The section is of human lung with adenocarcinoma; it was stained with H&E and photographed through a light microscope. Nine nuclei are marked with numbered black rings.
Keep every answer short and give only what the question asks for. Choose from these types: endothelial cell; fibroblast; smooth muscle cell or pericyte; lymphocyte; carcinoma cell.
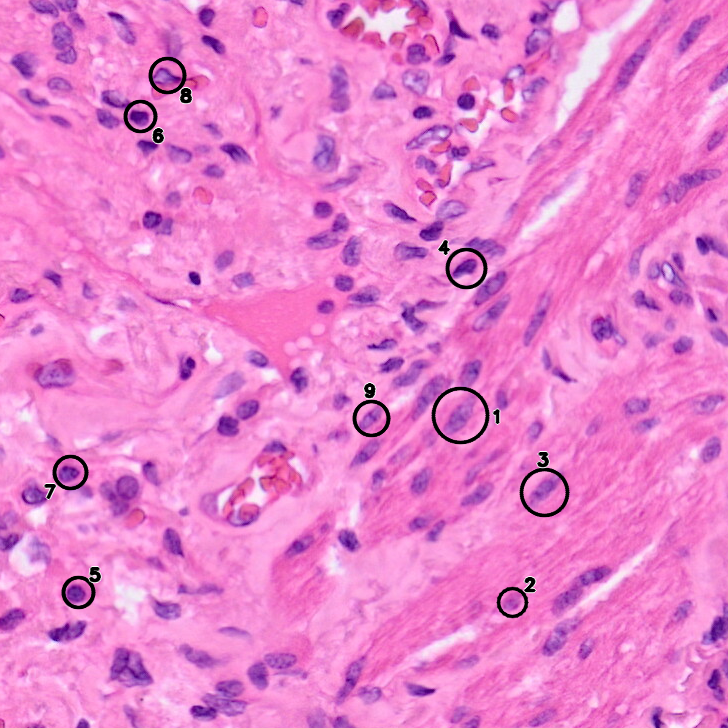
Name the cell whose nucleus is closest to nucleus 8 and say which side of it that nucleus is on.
a fibroblast above nucleus 8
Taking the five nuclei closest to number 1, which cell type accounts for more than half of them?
smooth muscle cell or pericyte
